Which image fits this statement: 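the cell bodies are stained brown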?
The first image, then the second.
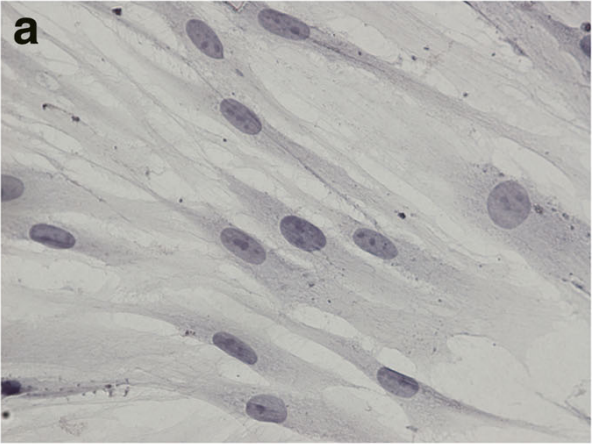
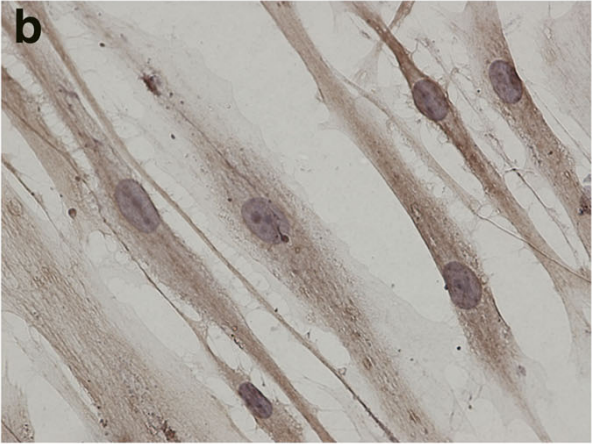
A: The second image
